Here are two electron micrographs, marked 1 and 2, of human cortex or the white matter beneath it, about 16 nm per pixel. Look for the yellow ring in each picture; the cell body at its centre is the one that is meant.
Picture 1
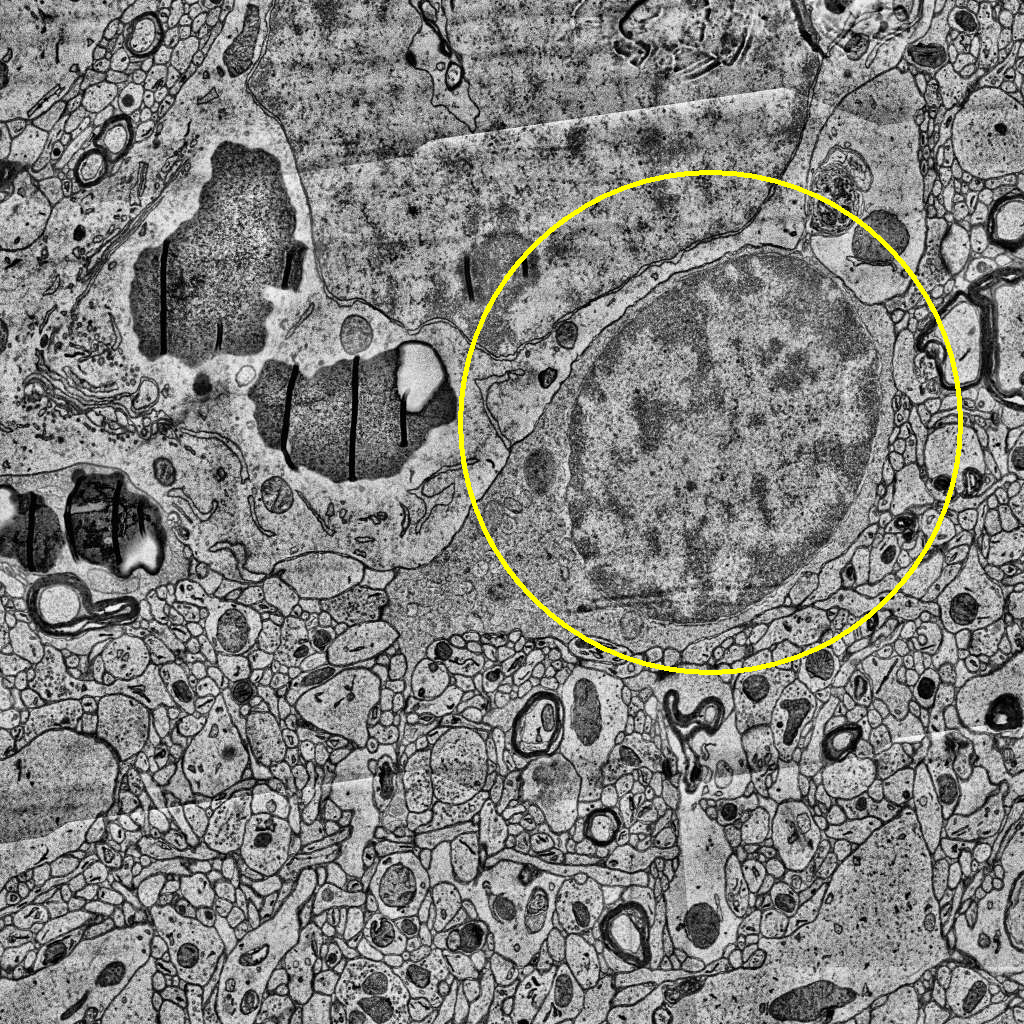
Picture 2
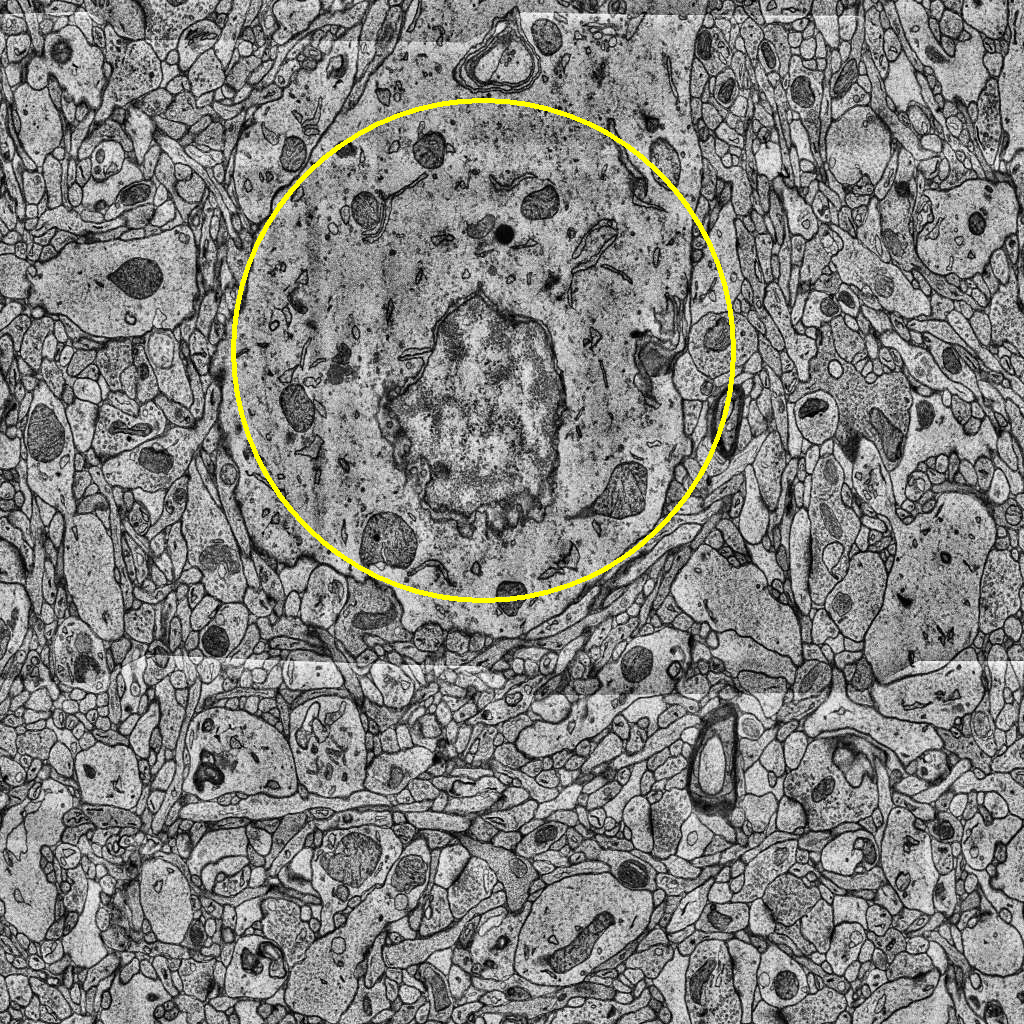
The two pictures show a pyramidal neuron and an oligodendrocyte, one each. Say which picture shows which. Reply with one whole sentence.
It is picture 1 that shows an oligodendrocyte, and picture 2 that shows a pyramidal neuron.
